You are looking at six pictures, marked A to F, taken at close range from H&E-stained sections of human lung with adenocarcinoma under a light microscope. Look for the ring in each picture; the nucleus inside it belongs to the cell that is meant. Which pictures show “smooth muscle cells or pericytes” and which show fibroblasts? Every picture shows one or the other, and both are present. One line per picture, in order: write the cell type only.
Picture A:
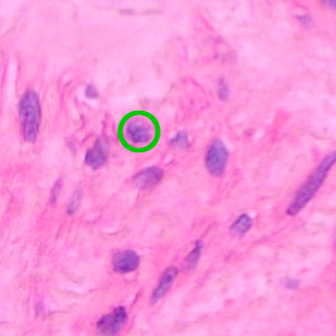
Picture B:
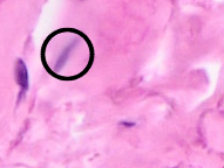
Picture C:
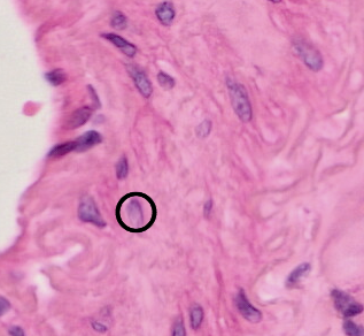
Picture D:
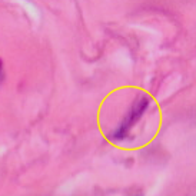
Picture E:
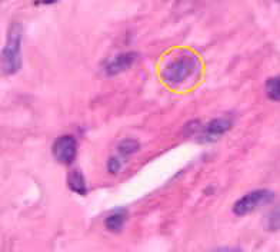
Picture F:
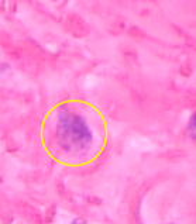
smooth muscle cell or pericyte
fibroblast
smooth muscle cell or pericyte
fibroblast
smooth muscle cell or pericyte
fibroblast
